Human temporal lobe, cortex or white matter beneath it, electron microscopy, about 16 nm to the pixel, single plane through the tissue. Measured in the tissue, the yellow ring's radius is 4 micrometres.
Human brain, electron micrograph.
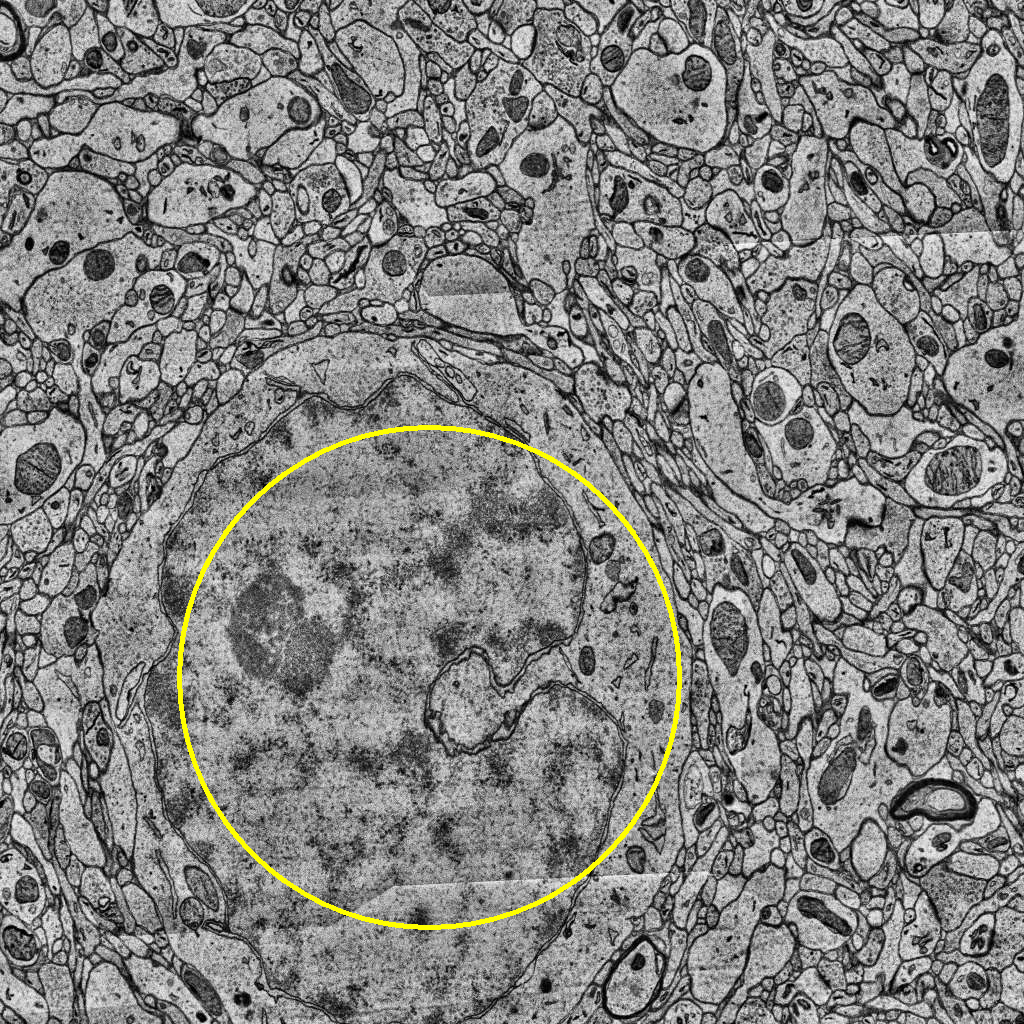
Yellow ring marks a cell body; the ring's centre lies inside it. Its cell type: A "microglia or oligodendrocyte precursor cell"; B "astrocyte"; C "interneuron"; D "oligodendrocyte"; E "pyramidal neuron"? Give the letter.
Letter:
C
